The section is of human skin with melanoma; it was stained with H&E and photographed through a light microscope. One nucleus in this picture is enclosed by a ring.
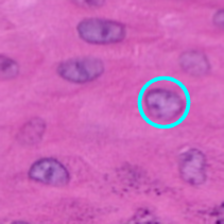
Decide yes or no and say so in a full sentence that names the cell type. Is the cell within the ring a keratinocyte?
Yes, a keratinocyte is what the cell within the ring is in this section.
